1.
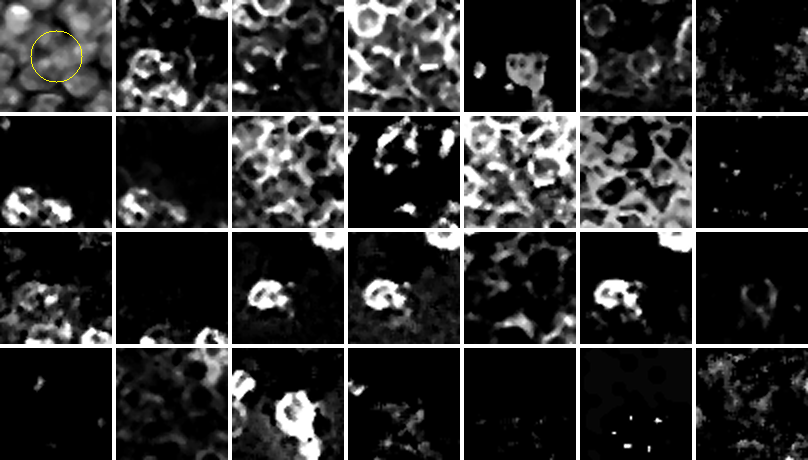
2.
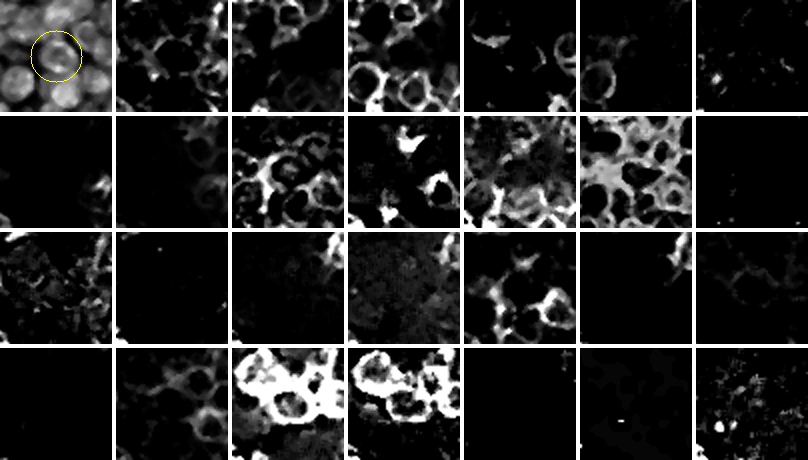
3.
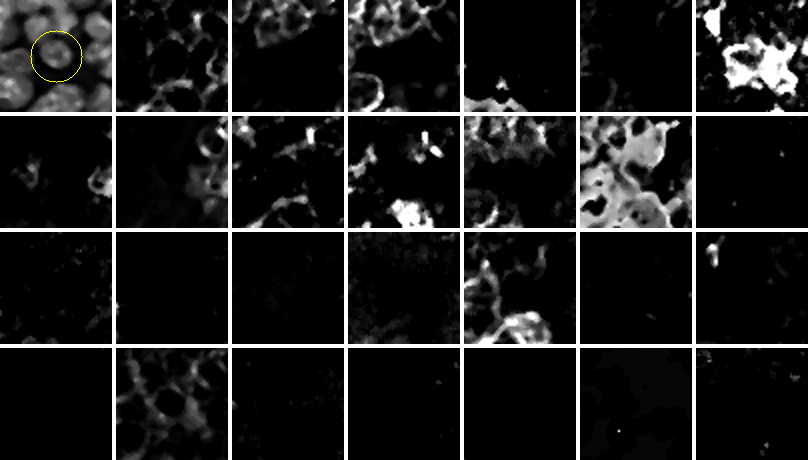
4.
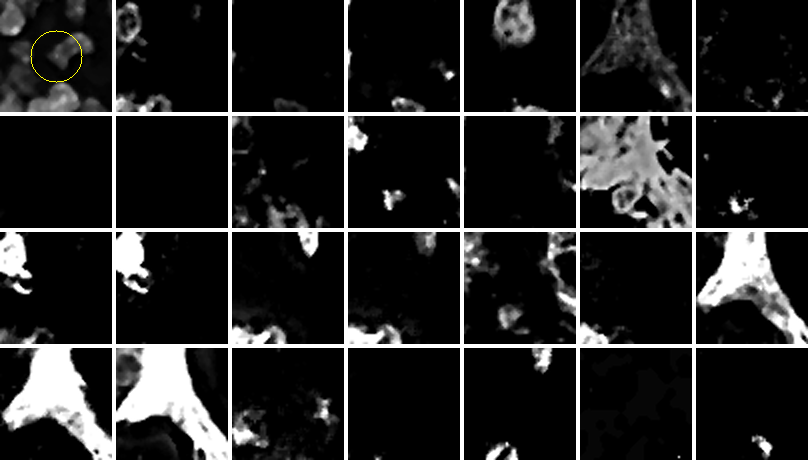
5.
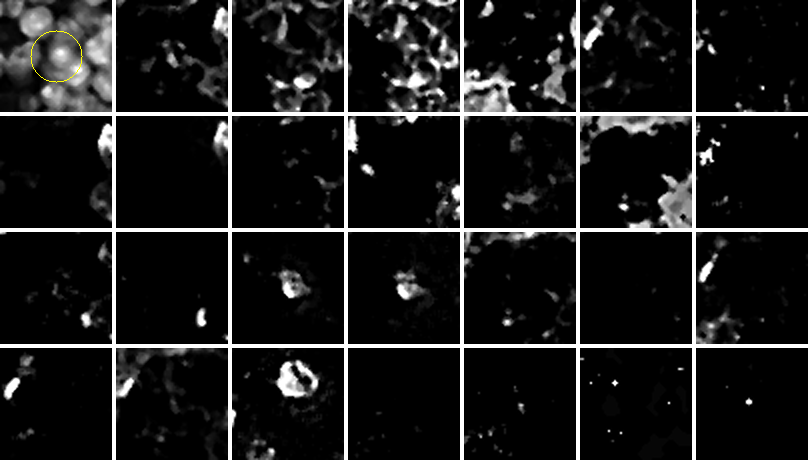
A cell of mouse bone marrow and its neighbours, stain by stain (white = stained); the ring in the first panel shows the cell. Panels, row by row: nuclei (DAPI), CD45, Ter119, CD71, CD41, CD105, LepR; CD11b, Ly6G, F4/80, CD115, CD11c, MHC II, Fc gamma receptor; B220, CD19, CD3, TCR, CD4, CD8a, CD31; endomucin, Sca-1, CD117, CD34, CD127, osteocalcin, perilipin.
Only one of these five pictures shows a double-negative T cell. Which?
Picture 5.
